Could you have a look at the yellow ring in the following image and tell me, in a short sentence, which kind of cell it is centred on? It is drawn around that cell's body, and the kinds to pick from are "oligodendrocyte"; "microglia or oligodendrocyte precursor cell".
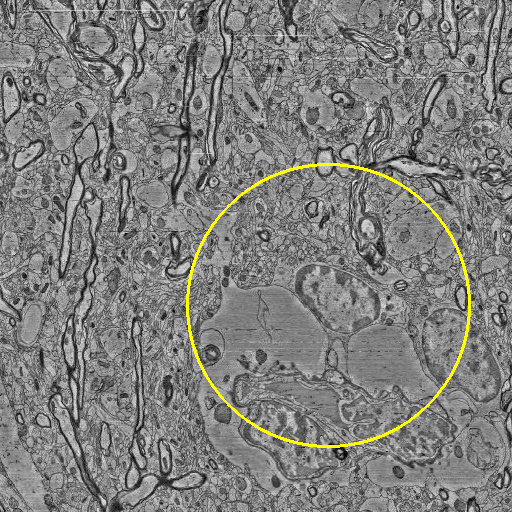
The ring is centred on the body of a microglial cell or oligodendrocyte precursor cell.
